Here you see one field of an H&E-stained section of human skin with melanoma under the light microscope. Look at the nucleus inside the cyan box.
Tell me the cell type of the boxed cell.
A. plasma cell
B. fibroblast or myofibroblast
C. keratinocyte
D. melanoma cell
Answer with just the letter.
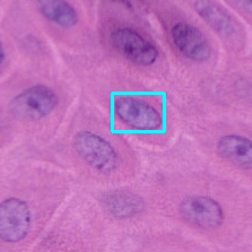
C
